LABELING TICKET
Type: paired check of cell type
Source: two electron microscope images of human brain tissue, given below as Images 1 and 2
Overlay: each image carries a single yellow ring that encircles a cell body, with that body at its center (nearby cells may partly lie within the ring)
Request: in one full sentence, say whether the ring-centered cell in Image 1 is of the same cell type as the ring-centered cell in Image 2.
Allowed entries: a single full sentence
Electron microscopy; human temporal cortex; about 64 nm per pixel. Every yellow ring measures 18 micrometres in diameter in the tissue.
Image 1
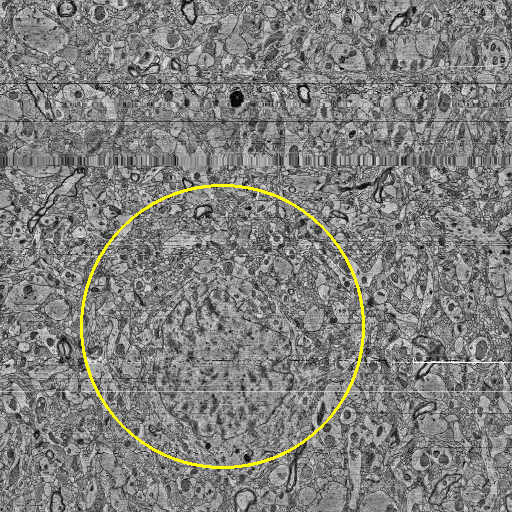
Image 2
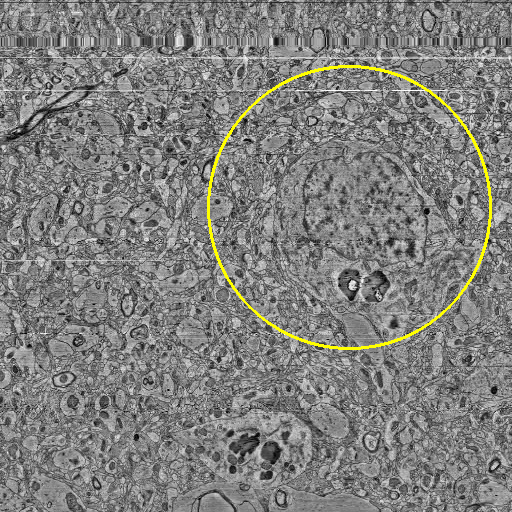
Yes, the cells centered in the rings of Image 1 and Image 2 share one type.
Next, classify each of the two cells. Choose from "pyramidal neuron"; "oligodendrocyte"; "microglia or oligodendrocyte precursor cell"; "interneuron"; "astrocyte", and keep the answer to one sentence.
The cell in the first picture is an interneuron, and so is the one in the second.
